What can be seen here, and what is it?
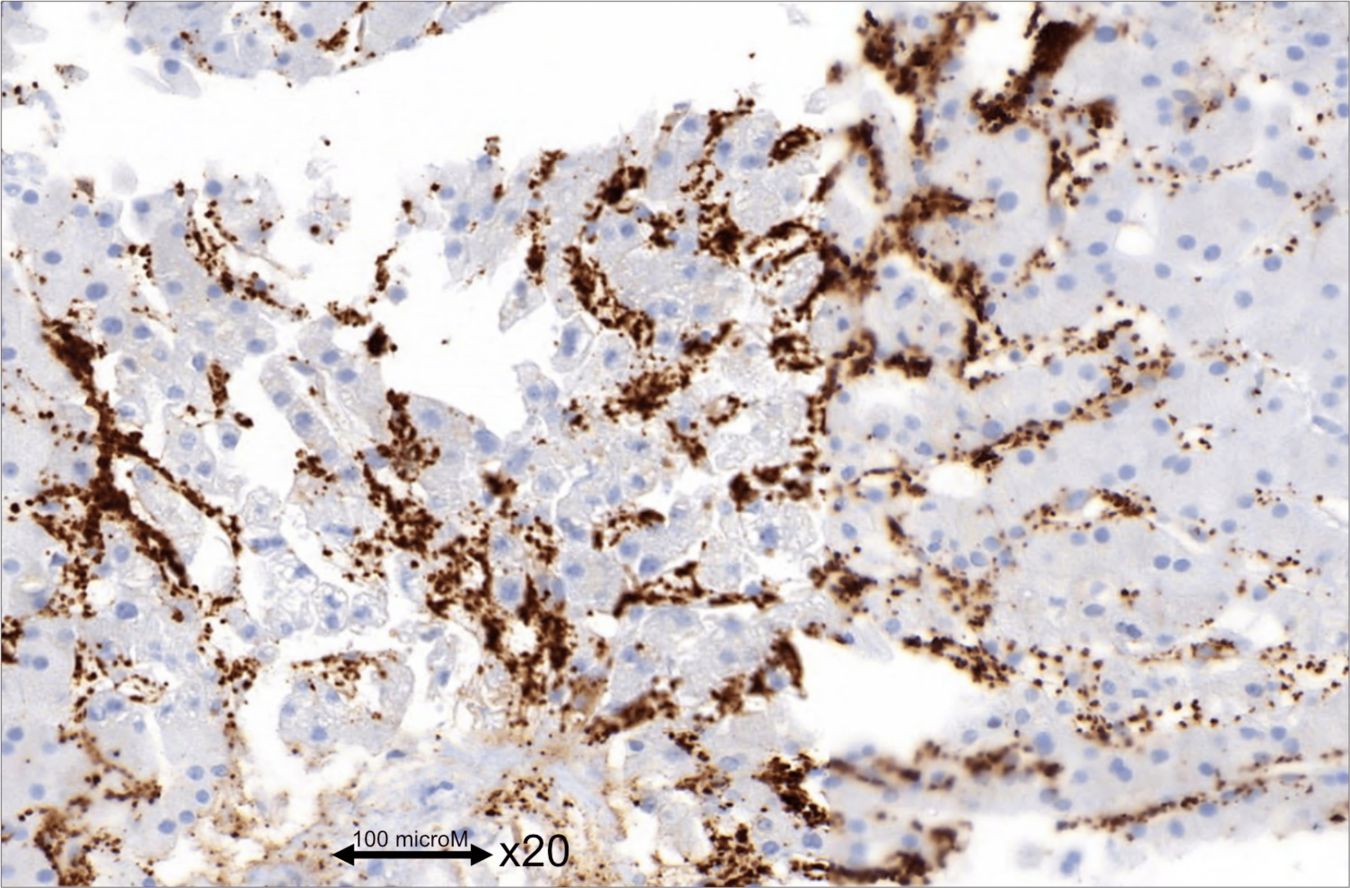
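The hepatocytes are large polygonal cells with pale, finely granular cytoplasm and round, blue nuclei, arranged in cords. The narrow sinusoidal spaces between the cords are filled with fine brown granules, which in many places coalesce into dense, dark brown clumps that plug the channels. The hepatocytes themselves remain unstained. Parts of the tissue are disrupted, with cell plates separated by empty white spaces.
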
